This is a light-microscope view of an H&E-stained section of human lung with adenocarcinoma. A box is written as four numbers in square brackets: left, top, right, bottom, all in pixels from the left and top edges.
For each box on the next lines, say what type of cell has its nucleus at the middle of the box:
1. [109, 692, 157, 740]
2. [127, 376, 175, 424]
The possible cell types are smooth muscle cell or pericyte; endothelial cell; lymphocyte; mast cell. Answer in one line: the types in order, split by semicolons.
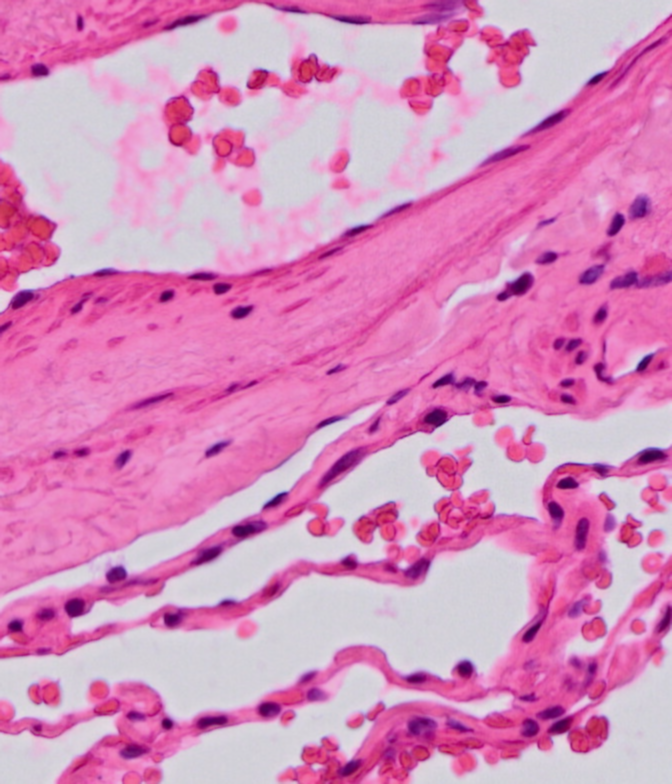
endothelial cell; smooth muscle cell or pericyte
